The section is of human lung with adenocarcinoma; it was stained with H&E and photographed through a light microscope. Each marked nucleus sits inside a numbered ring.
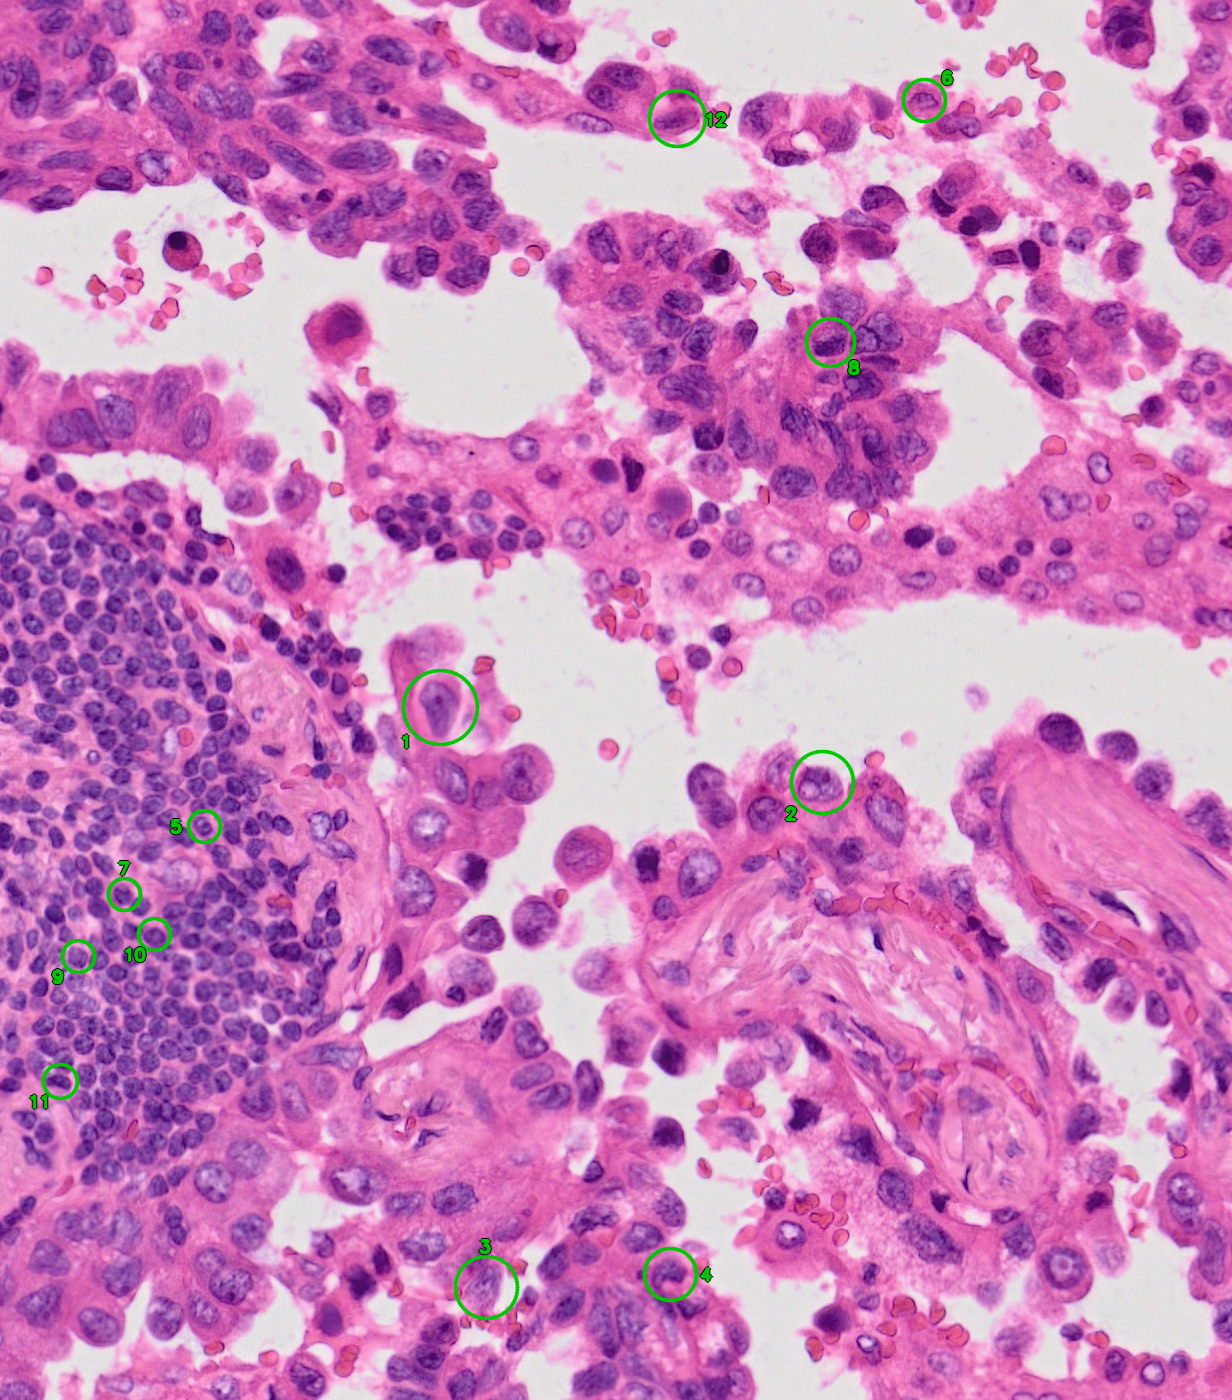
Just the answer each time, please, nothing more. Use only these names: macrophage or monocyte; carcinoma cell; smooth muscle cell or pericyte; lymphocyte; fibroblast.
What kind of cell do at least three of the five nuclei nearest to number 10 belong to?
lymphocyte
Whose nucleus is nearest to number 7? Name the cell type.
lymphocyte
